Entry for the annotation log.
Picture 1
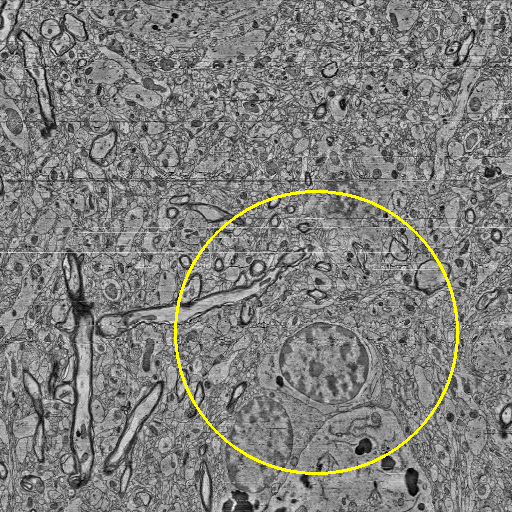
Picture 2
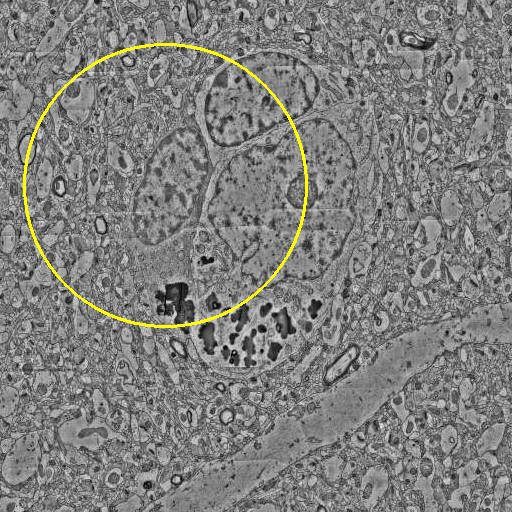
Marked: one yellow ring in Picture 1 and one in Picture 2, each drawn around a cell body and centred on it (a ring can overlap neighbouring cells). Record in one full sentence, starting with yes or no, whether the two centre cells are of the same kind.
No, the two cells are of two kinds.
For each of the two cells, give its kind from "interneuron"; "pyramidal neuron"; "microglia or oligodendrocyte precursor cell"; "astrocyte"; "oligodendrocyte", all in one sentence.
The first picture has a microglial cell or oligodendrocyte precursor cell in its ring, the second has an oligodendrocyte.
